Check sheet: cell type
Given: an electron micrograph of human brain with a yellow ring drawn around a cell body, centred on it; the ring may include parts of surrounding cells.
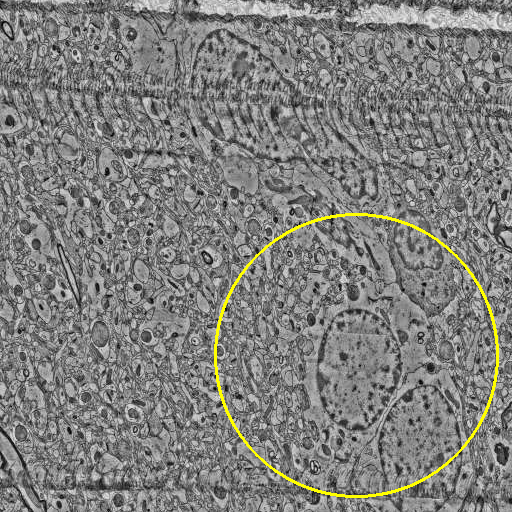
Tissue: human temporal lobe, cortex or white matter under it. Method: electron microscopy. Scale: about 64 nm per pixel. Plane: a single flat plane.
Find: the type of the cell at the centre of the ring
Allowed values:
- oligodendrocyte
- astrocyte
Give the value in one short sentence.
Here the ringed cell is an astrocyte.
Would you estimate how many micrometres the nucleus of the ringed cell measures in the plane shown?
About 8 by 5 micrometers, in this plane.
